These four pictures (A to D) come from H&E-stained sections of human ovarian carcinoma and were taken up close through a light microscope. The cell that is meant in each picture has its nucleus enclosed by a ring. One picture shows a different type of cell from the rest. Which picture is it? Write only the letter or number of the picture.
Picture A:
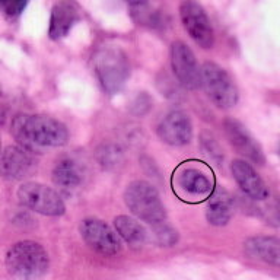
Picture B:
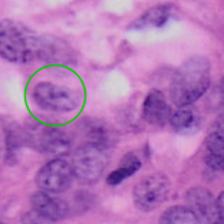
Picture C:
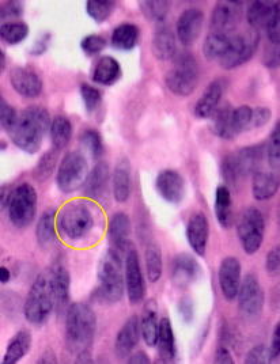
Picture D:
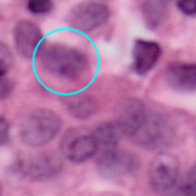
D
